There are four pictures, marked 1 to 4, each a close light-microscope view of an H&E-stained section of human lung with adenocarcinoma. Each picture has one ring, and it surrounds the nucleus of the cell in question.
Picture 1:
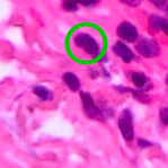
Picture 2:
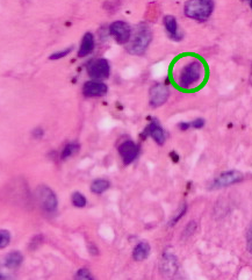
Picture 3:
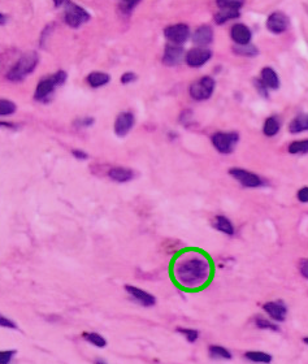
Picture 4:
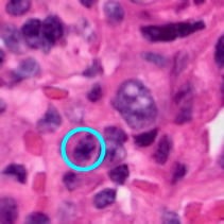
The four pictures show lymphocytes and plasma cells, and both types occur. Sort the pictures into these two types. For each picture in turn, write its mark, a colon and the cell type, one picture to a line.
1: lymphocyte
2: plasma cell
3: plasma cell
4: plasma cell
